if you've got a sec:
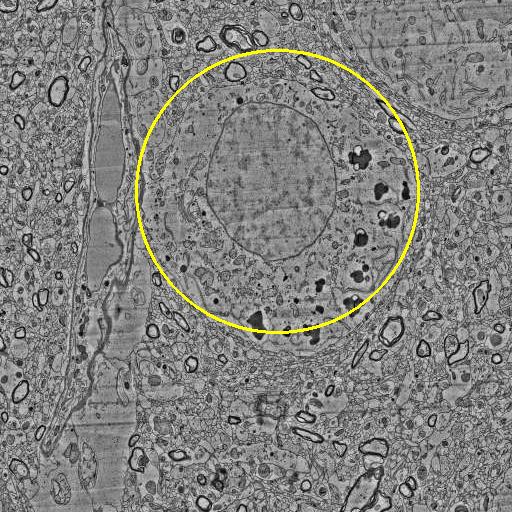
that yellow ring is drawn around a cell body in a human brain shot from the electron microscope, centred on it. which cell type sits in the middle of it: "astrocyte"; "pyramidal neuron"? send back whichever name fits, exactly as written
pyramidal neuron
